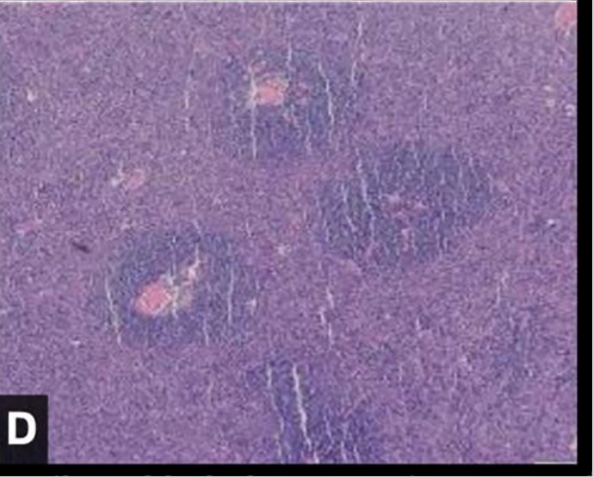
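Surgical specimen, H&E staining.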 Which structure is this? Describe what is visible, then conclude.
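Arranged in concentric circles. Dark rims of densely packed small cells encircle the small nodule centres. The rims are roughly ring-shaped around each centre.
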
